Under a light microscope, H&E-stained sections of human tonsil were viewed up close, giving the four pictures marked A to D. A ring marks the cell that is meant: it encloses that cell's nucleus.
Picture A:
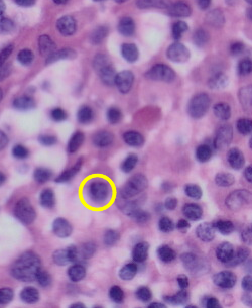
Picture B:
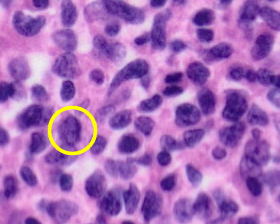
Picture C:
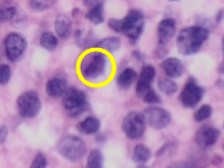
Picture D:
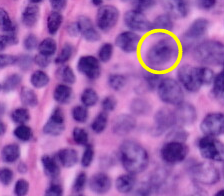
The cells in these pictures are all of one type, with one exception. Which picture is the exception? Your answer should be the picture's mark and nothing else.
A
